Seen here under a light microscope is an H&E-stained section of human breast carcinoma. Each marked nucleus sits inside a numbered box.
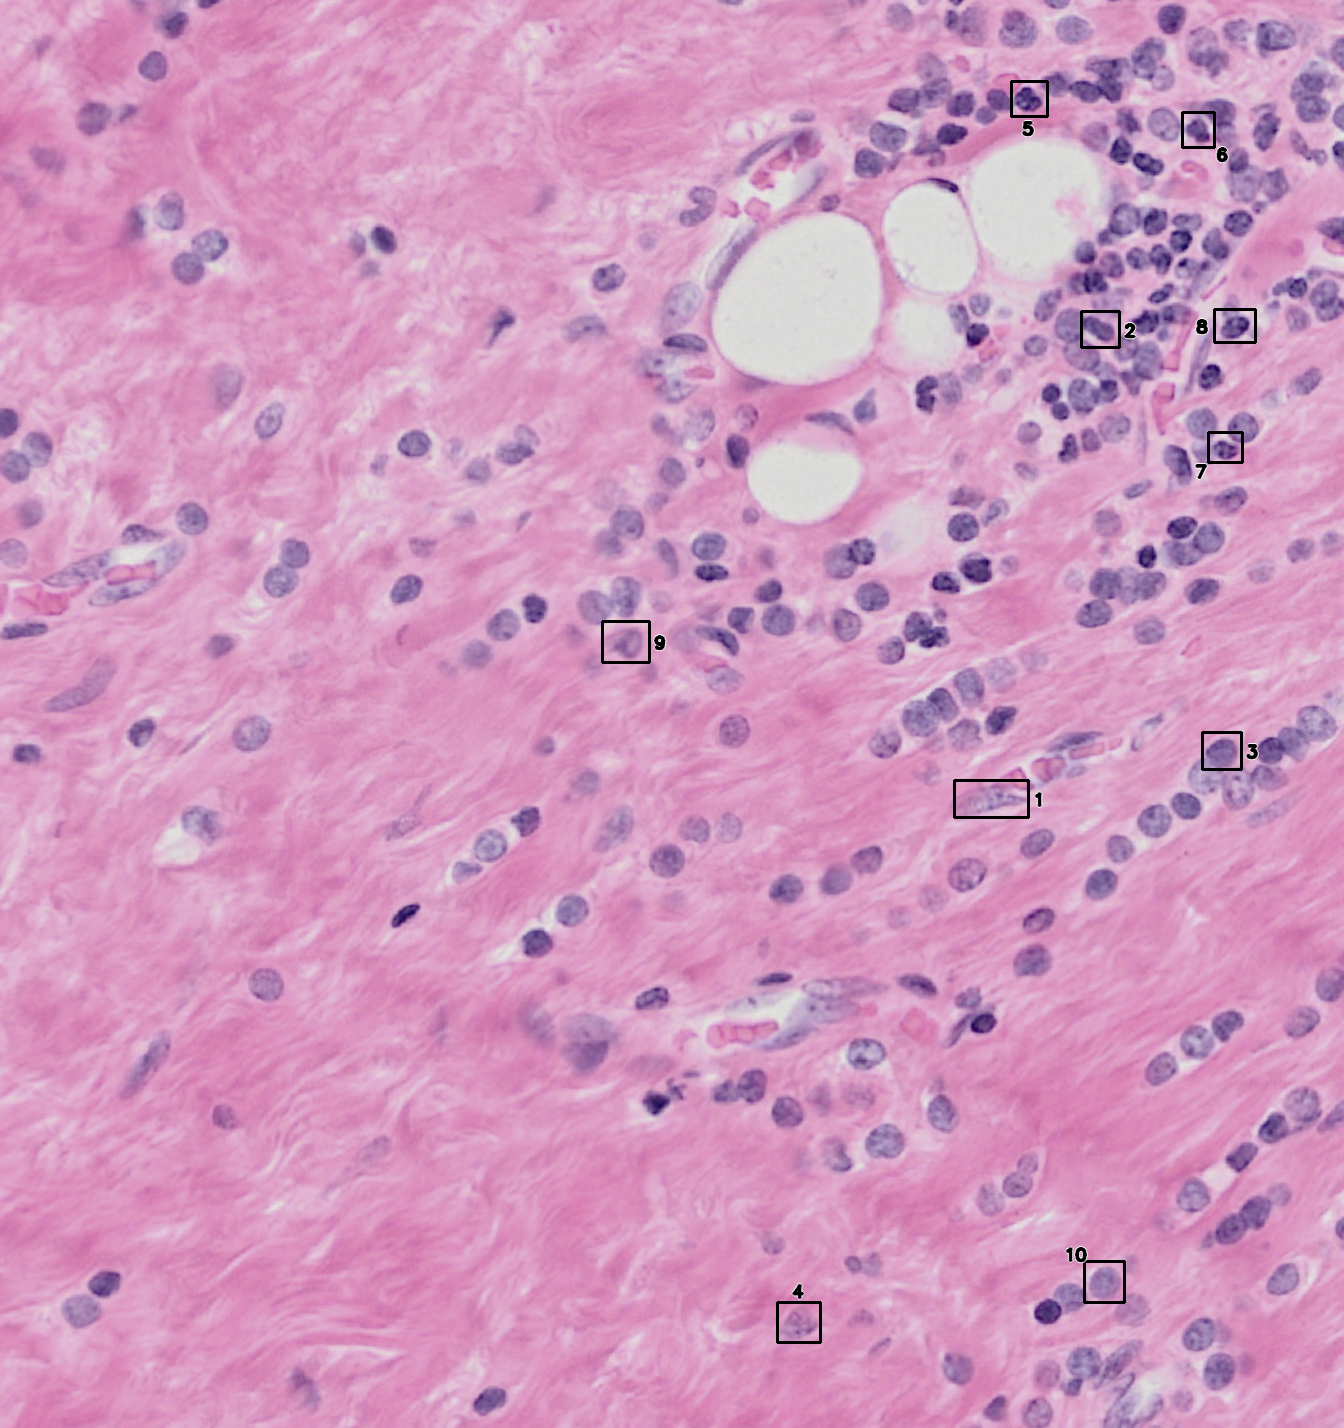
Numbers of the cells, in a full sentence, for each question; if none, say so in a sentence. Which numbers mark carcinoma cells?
In this section, the cells labelled 3, 9 and 10 are carcinoma cells.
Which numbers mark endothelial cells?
It is cell 1, and no other numbered cell, that is an endothelial cell.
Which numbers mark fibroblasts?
Among the marked cells, cell number 4 alone is a fibroblast.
